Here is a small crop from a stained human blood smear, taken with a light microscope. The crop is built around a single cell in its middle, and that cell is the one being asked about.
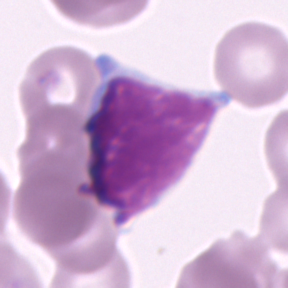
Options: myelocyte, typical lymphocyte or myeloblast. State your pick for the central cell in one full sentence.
Whatever else lies nearby, the middle cell is a typical lymphocyte.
